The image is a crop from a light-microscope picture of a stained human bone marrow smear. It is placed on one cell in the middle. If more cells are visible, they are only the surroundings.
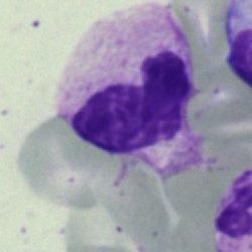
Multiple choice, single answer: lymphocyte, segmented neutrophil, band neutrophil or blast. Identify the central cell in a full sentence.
Whatever else lies nearby, the middle cell is a segmented neutrophil.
